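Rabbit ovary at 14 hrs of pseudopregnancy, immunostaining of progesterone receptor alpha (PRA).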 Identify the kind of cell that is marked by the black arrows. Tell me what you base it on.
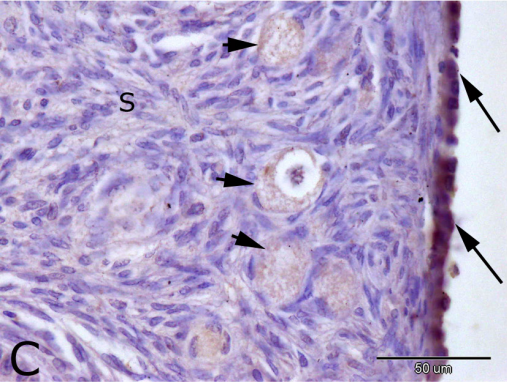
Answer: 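The arrows point to a thin single layer of cells lining the free outer edge of the tissue. This lining layer stains darker than the stroma beneath it. That points to this answer: ovarian surface epithelial cells.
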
